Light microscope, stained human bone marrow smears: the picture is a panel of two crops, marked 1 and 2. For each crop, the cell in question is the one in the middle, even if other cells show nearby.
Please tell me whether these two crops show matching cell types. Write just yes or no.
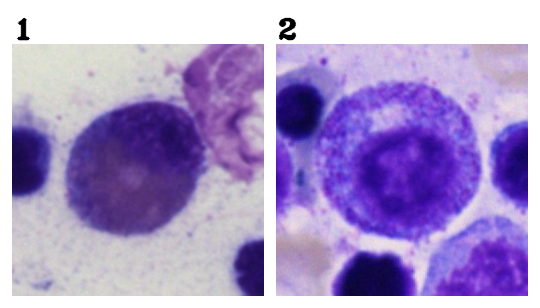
no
